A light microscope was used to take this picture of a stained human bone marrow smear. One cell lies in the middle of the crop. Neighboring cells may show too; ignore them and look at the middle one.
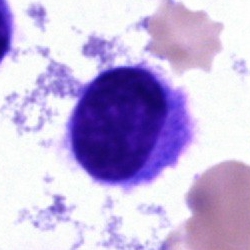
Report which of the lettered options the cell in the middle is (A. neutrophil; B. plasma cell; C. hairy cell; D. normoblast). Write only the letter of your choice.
C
